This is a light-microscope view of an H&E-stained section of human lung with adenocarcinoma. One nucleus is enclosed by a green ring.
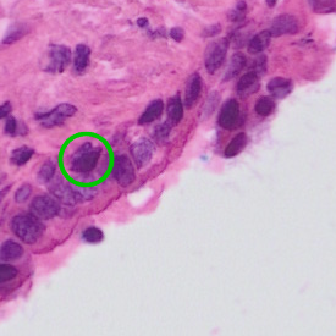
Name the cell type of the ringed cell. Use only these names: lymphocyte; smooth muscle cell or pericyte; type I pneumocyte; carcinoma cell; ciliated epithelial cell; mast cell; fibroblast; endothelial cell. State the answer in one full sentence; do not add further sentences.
Right, so the ringed cell is a ciliated epithelial cell, to answer that.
